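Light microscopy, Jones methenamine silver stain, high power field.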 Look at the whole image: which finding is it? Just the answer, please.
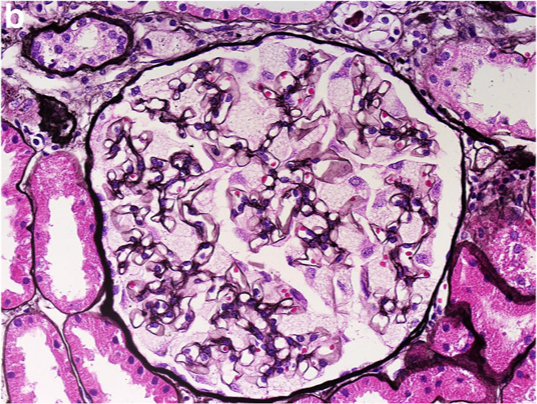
Swollen lacy cytoplasm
